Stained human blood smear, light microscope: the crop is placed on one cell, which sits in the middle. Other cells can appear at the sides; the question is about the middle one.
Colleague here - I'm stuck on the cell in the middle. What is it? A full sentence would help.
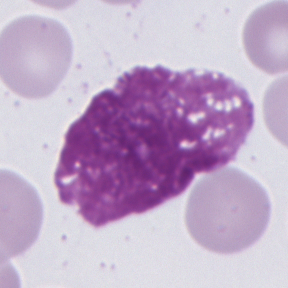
In the central position of this crop, the cell is a smudge cell.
